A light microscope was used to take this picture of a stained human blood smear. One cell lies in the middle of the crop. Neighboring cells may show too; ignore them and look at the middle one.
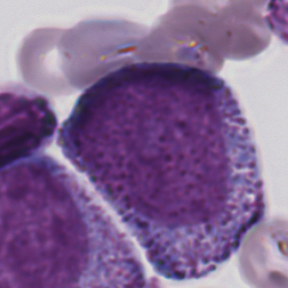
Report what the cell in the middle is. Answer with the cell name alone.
promyelocyte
